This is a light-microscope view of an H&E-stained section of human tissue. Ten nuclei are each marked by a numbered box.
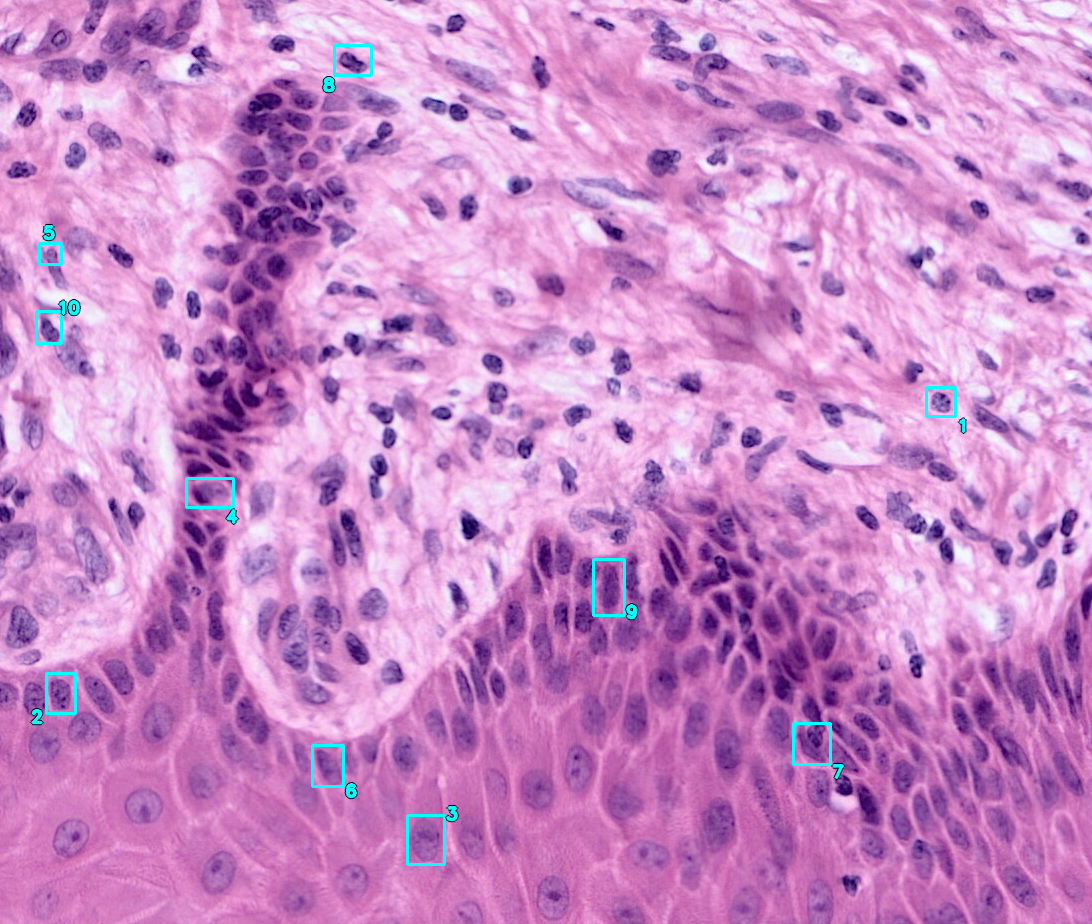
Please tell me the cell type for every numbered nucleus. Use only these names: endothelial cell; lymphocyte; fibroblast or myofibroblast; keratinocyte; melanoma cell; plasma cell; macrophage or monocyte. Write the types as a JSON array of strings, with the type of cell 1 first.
["lymphocyte", "keratinocyte", "keratinocyte", "keratinocyte", "macrophage or monocyte", "keratinocyte", "keratinocyte", "lymphocyte", "keratinocyte", "lymphocyte"]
